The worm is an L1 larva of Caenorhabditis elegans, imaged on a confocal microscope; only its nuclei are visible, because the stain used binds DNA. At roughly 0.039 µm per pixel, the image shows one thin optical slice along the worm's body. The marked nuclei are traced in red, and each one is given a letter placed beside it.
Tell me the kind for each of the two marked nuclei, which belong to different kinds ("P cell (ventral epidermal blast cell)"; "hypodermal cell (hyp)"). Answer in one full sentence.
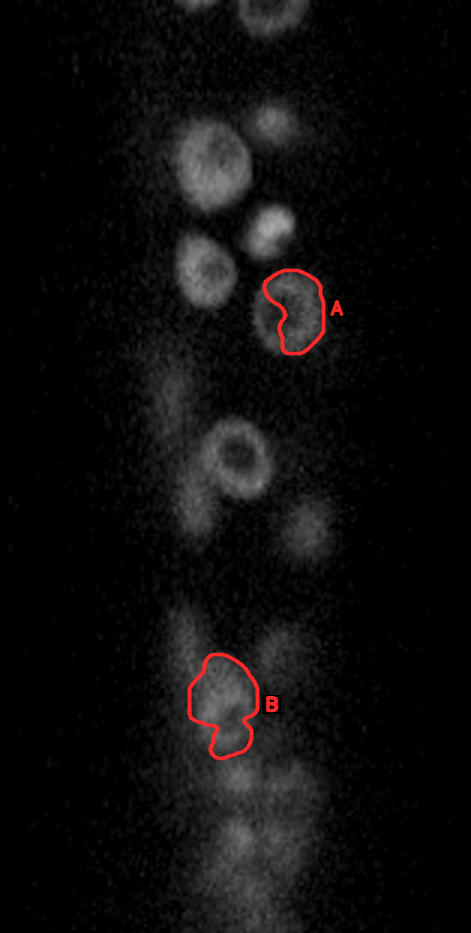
A is from a hypodermal cell (hyp), and B is from a P cell (ventral epidermal blast cell).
